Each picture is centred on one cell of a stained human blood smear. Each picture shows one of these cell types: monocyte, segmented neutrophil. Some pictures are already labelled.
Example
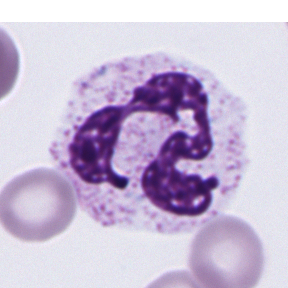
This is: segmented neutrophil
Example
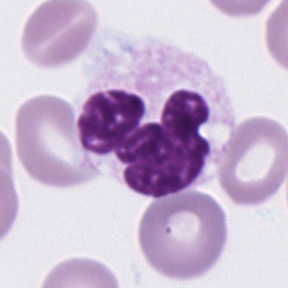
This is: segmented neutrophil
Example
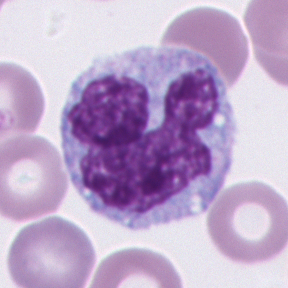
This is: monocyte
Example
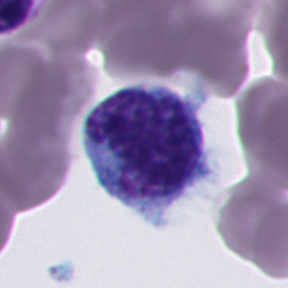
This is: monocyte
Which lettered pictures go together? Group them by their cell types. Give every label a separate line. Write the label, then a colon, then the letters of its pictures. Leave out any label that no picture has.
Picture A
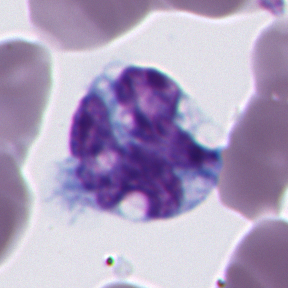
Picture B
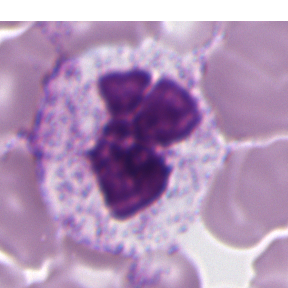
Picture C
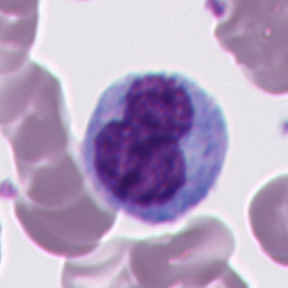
monocyte: A, C
segmented neutrophil: B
